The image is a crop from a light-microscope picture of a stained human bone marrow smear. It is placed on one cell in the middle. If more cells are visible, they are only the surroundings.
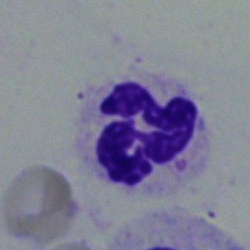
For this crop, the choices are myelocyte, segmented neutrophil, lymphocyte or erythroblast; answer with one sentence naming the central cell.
The crop's centre is taken up by a segmented neutrophil.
